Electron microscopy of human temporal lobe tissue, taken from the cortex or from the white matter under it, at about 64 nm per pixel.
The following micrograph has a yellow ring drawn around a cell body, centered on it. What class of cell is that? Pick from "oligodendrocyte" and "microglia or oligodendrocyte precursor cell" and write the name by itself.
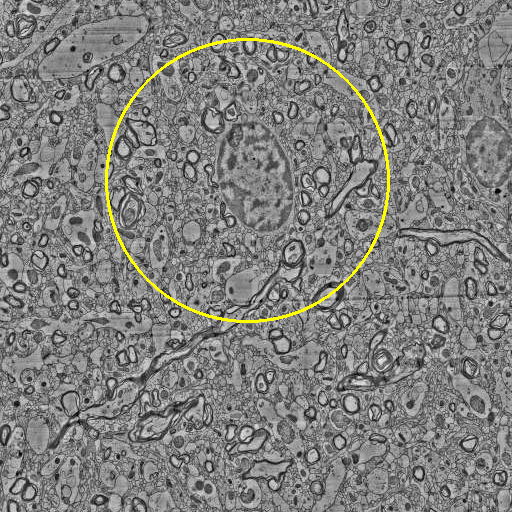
oligodendrocyte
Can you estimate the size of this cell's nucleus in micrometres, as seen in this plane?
In this plane the nucleus measures roughly 7 by 5 micrometers.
